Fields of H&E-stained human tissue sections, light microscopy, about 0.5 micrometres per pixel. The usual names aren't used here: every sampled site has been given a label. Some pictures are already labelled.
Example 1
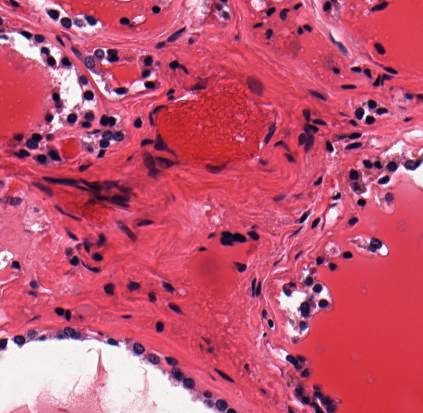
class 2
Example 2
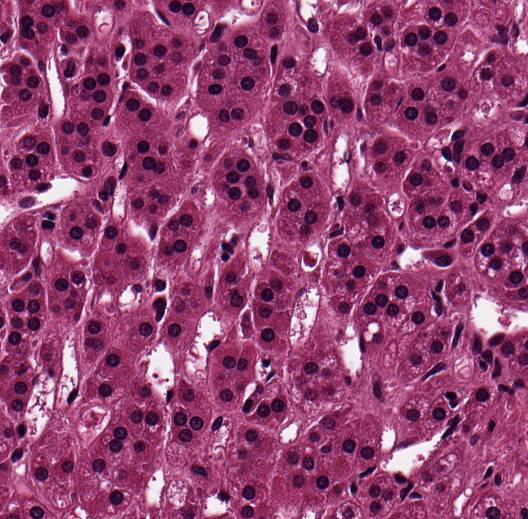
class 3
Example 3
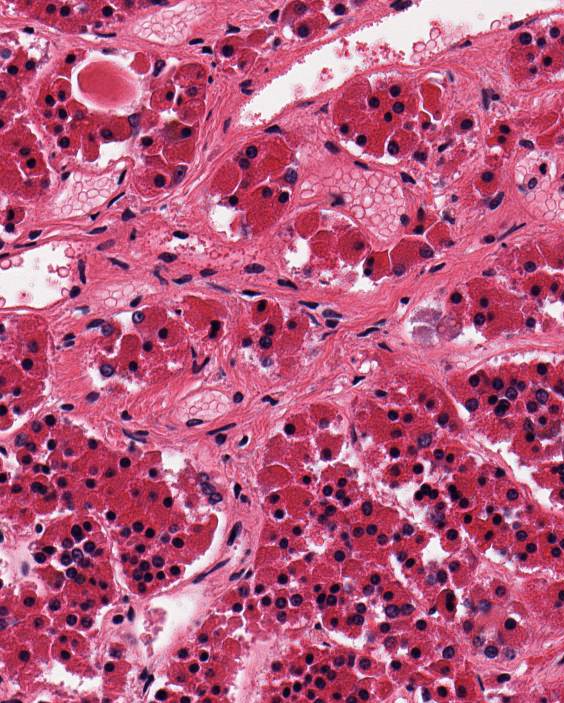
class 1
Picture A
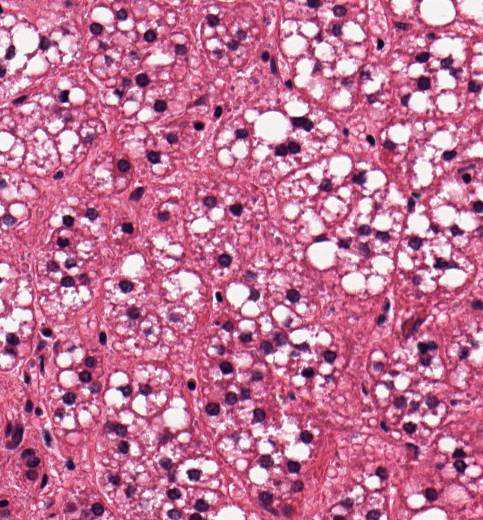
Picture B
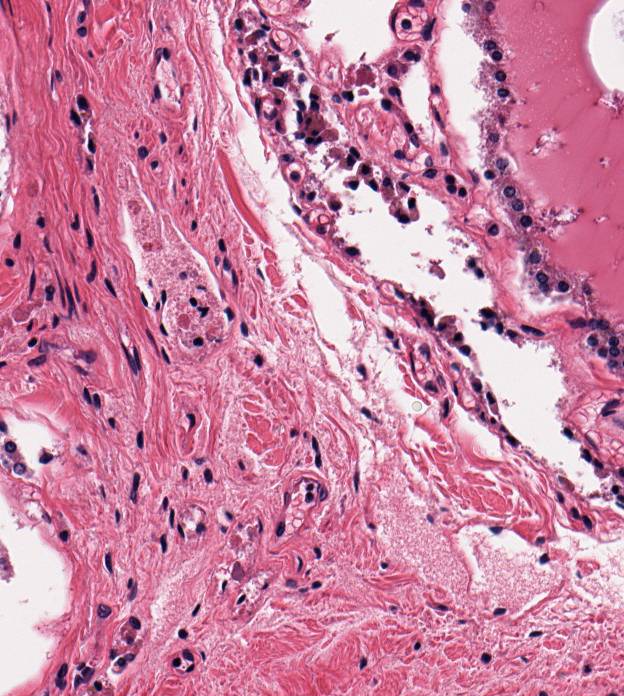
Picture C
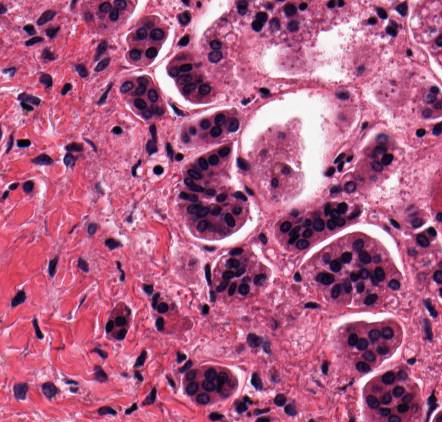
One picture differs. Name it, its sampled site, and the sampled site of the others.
Picture B: class 2. All others: class 3.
